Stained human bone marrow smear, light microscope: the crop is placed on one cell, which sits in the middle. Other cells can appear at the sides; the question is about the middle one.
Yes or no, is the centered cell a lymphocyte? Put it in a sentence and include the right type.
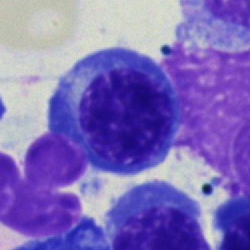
No, the middle cell is not a lymphocyte, it being an erythroblast.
